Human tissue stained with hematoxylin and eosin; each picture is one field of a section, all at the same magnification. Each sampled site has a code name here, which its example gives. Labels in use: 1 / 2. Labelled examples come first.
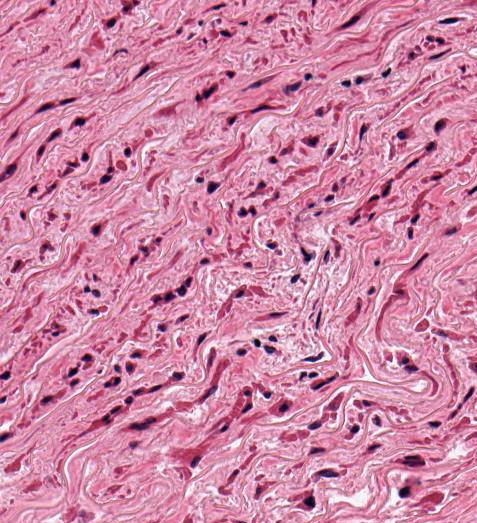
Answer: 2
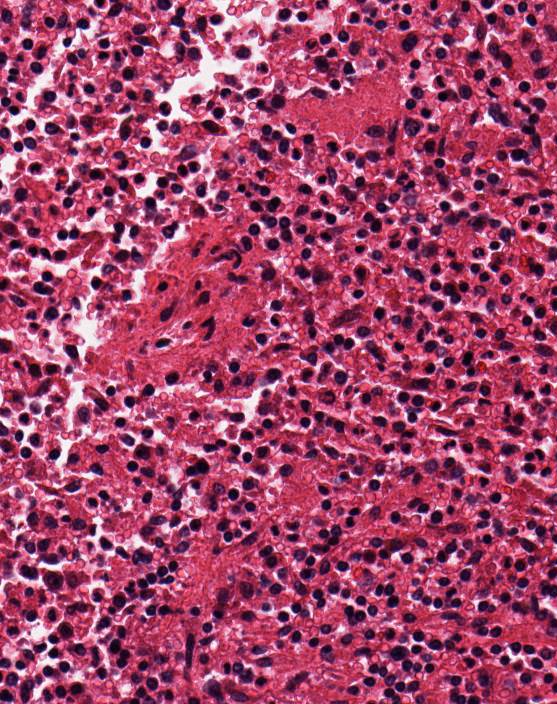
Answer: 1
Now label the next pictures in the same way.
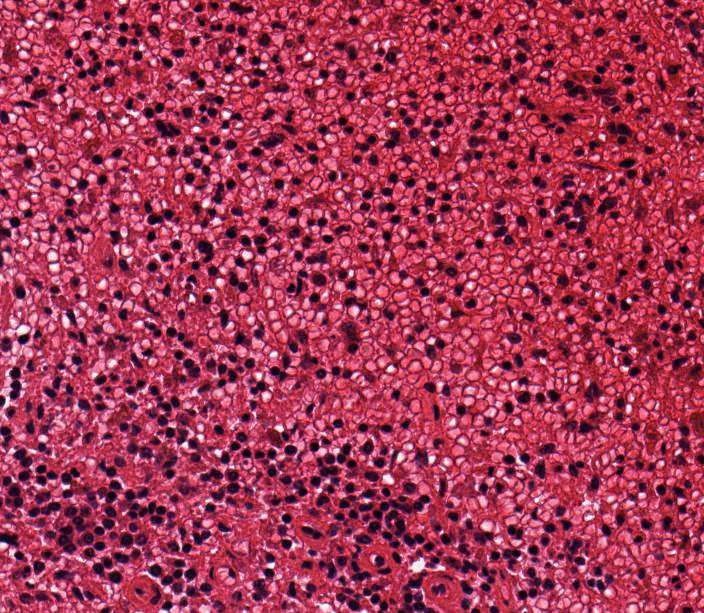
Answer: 1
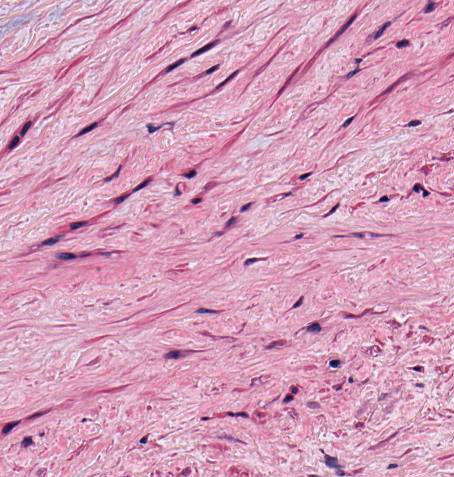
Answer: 2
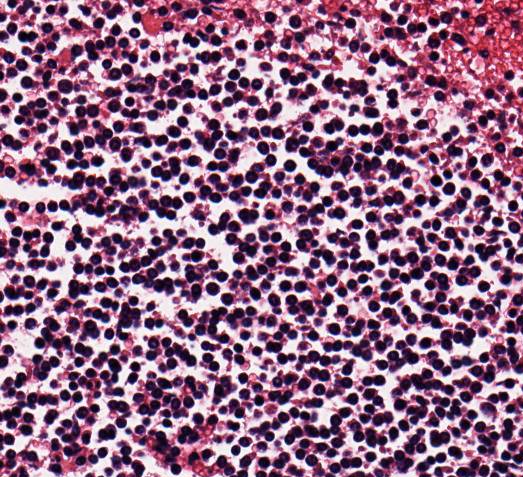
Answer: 1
